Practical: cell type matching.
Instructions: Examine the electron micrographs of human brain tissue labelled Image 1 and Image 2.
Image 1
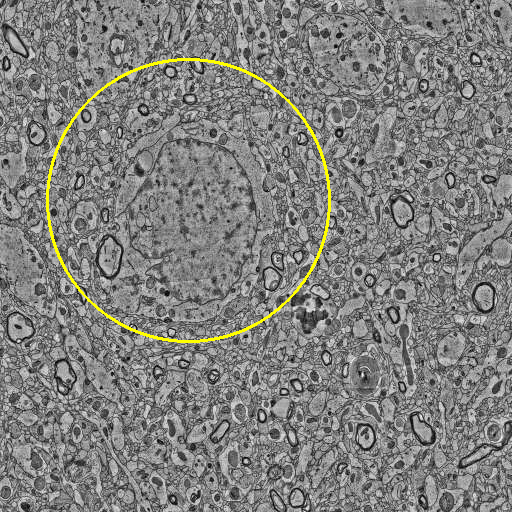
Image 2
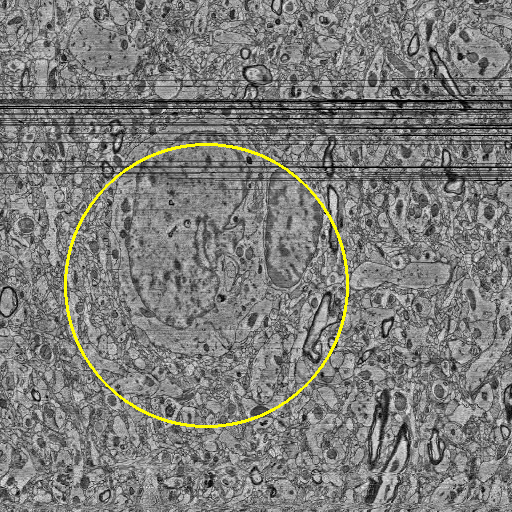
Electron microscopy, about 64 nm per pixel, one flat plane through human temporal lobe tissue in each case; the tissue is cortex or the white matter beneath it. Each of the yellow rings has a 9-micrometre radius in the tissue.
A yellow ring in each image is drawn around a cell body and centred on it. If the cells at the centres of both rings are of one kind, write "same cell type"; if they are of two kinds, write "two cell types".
same cell type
